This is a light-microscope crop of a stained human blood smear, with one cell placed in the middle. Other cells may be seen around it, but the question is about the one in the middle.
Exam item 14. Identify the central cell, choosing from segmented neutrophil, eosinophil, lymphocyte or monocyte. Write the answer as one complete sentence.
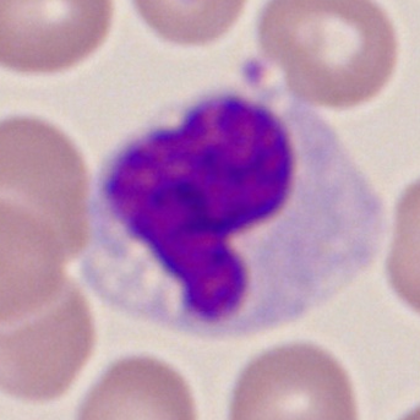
The cell marked by its central position in the crop is a monocyte.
